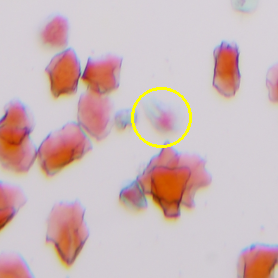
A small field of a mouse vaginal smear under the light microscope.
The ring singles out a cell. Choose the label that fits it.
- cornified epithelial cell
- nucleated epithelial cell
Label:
nucleated epithelial cell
